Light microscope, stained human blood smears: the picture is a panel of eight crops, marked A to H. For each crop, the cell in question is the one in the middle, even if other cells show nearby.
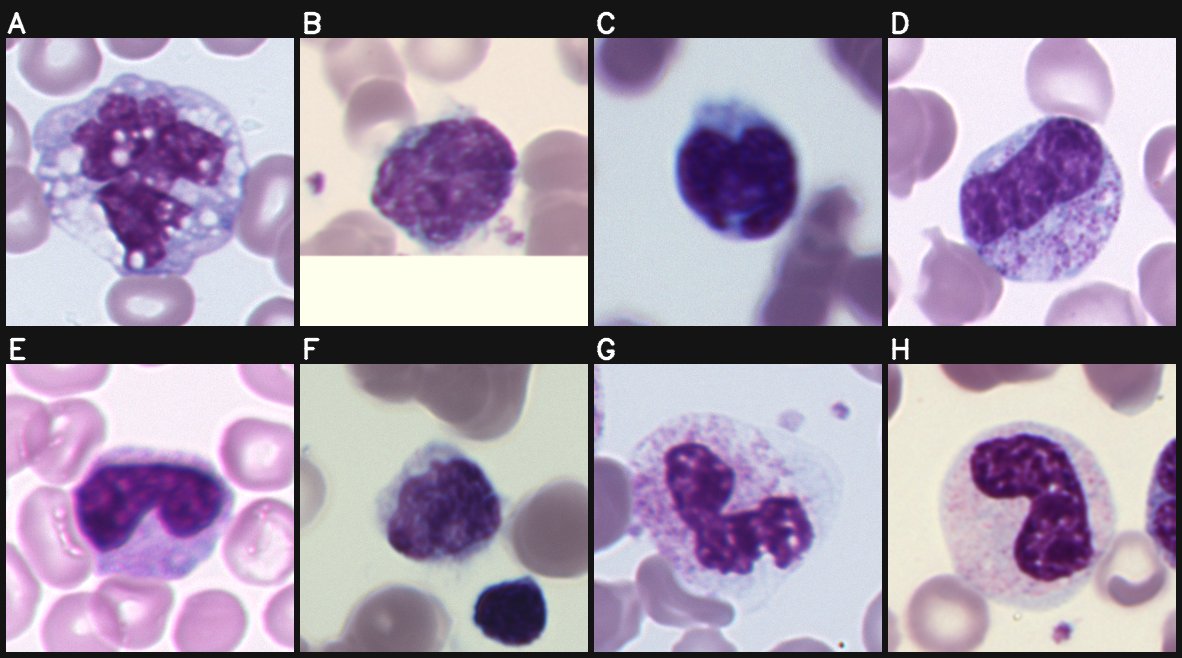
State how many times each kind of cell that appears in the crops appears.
monocyte: 4
band neutrophil: 4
